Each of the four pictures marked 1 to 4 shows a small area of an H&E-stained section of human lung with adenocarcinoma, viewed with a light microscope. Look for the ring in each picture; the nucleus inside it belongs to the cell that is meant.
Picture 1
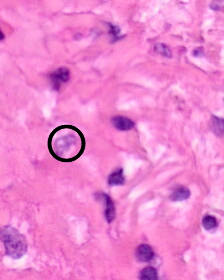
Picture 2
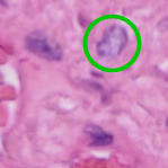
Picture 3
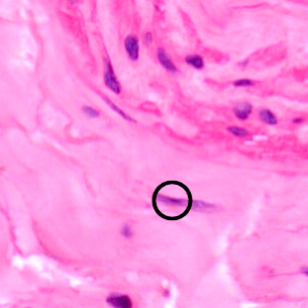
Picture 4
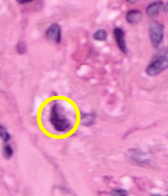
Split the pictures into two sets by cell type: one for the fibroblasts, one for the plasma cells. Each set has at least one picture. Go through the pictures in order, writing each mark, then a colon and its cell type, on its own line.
1: fibroblast
2: fibroblast
3: fibroblast
4: plasma cell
